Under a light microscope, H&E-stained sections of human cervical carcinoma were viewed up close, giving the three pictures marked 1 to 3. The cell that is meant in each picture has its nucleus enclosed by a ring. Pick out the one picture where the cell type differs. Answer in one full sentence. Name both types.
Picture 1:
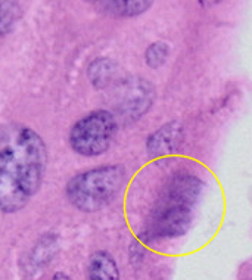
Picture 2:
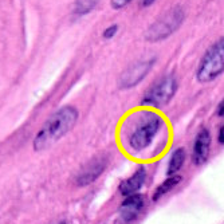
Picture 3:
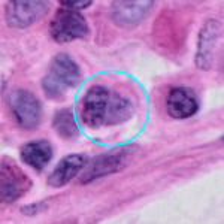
Picture 3 is the odd one out: it shows a “macrophage or monocyte”, while the others show squamous carcinoma cells.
